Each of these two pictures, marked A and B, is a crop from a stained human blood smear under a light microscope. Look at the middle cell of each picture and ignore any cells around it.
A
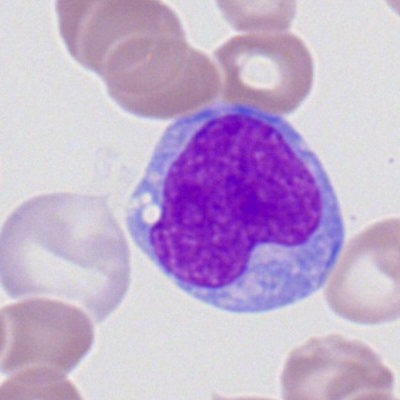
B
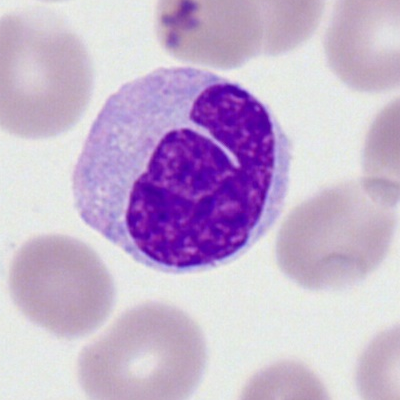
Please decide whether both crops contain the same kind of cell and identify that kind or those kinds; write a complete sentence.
No, a blast is what crop A shows, and a monocyte is what crop B shows.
